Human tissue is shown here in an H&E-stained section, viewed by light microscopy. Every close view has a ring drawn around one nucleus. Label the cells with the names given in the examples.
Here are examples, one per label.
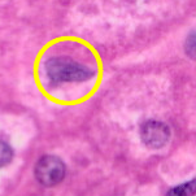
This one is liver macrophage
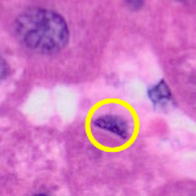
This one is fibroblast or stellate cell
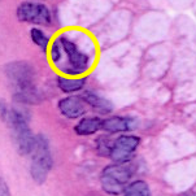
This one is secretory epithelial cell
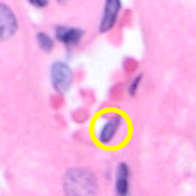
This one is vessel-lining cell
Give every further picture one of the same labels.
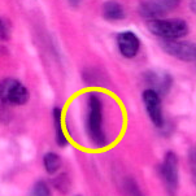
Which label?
vessel-lining cell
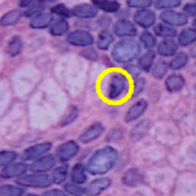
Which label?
secretory epithelial cell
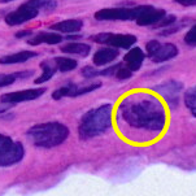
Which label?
secretory epithelial cell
